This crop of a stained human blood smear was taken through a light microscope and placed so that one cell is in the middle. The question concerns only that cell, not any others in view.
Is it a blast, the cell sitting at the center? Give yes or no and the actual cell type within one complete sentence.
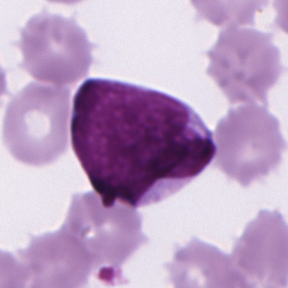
Yes, the cell at the middle of the frame is a blast.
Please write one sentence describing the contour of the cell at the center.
Irregular and not smooth, the cell boundary is ragged or drawn out into projections.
